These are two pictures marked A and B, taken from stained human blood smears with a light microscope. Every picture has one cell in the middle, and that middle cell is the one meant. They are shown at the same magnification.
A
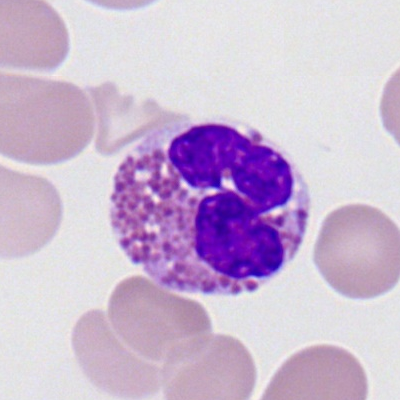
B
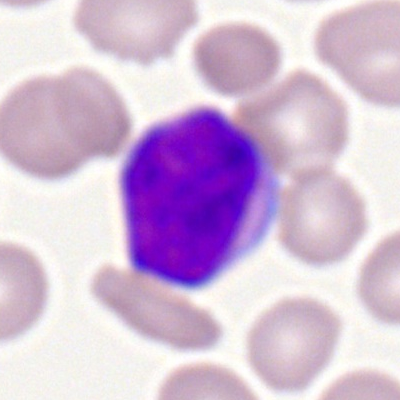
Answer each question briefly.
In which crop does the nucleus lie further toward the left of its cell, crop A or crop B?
B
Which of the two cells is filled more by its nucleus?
B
